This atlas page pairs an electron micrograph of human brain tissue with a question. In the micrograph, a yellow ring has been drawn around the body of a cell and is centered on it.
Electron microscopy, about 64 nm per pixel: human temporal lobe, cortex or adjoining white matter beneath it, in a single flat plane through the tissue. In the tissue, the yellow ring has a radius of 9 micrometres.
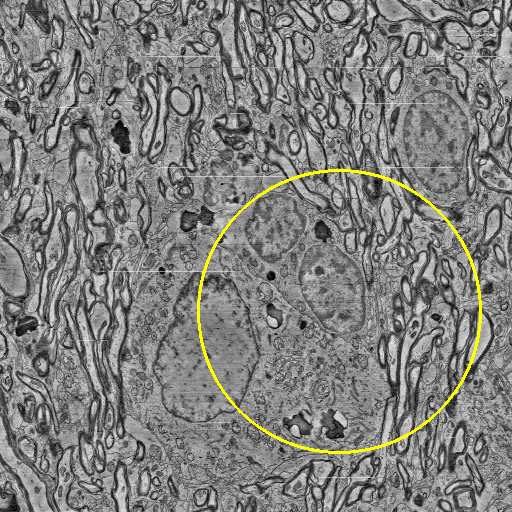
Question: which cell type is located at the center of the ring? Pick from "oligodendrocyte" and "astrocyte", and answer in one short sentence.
Located at the center of the ring is an oligodendrocyte.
